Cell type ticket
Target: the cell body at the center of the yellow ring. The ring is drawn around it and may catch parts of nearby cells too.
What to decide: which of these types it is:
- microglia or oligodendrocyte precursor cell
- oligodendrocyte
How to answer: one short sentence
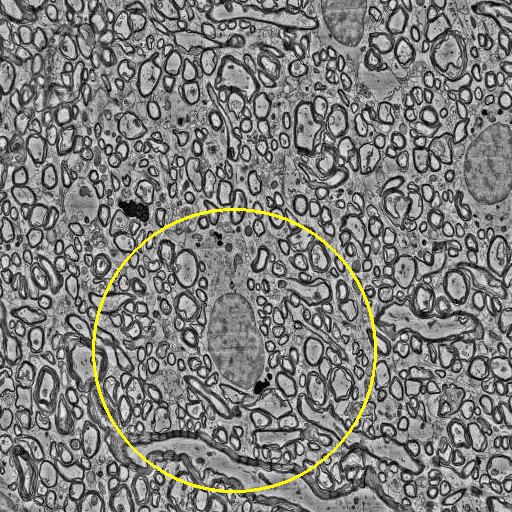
The cell at the center of the ring is an oligodendrocyte.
